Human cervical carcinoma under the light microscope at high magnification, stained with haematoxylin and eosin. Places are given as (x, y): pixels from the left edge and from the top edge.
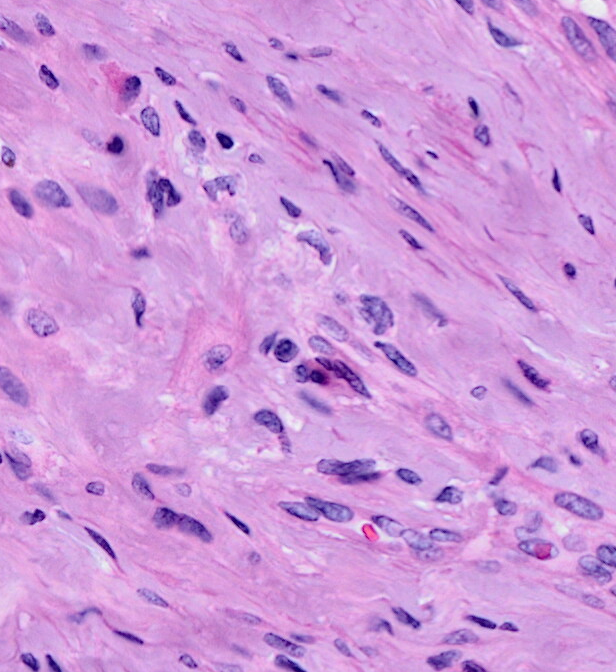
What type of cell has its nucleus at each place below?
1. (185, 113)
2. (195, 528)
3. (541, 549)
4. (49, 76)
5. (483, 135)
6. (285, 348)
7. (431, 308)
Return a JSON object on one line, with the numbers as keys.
{"1": "fibroblast", "2": "fibroblast", "3": "endothelial cell", "4": "lymphocyte", "5": "smooth muscle cell", "6": "lymphocyte", "7": "fibroblast"}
